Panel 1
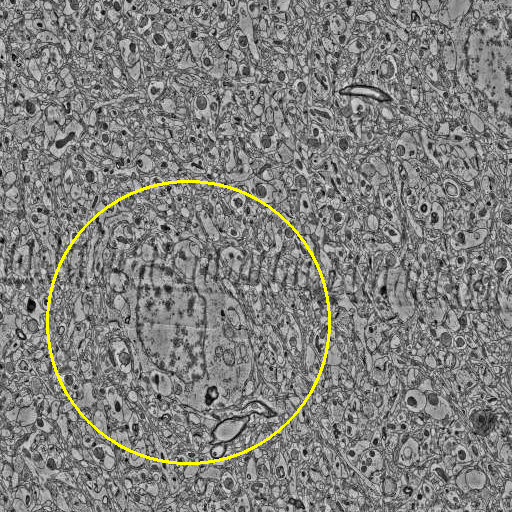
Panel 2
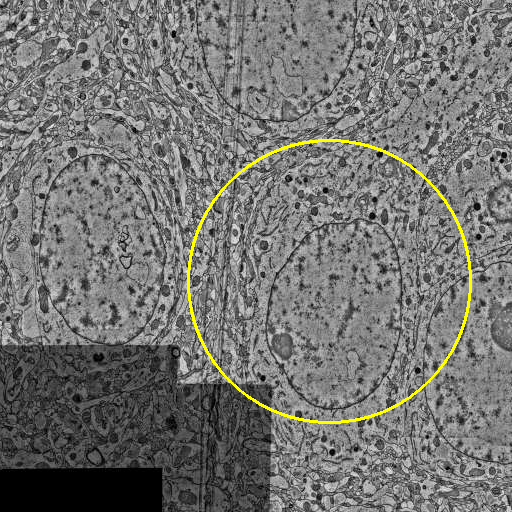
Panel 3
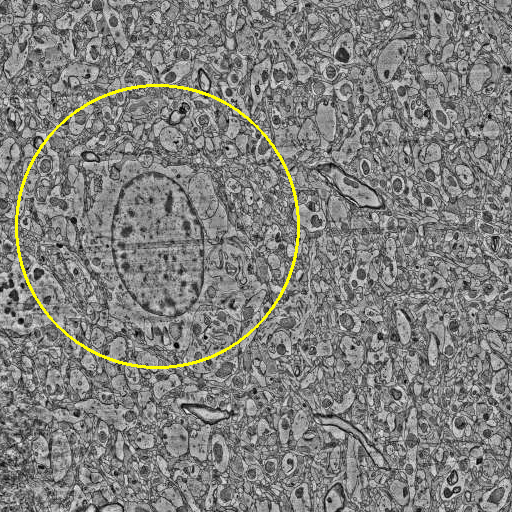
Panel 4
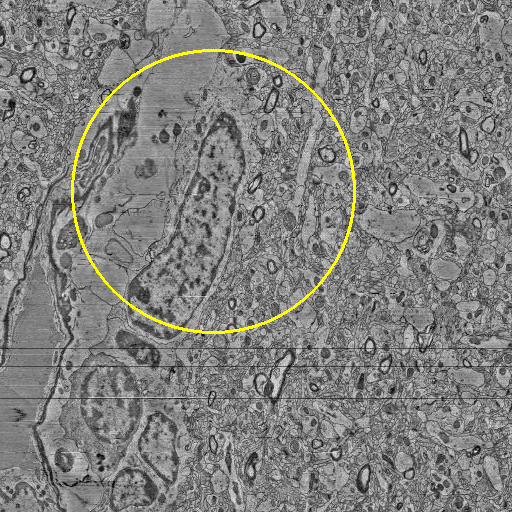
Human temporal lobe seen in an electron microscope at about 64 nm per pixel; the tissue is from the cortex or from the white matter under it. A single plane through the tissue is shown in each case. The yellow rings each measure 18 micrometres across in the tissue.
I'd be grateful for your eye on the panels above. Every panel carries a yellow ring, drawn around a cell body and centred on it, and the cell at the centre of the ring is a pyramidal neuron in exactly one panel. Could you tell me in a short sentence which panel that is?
Panel 2 is the one with it at the centre of the ring.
